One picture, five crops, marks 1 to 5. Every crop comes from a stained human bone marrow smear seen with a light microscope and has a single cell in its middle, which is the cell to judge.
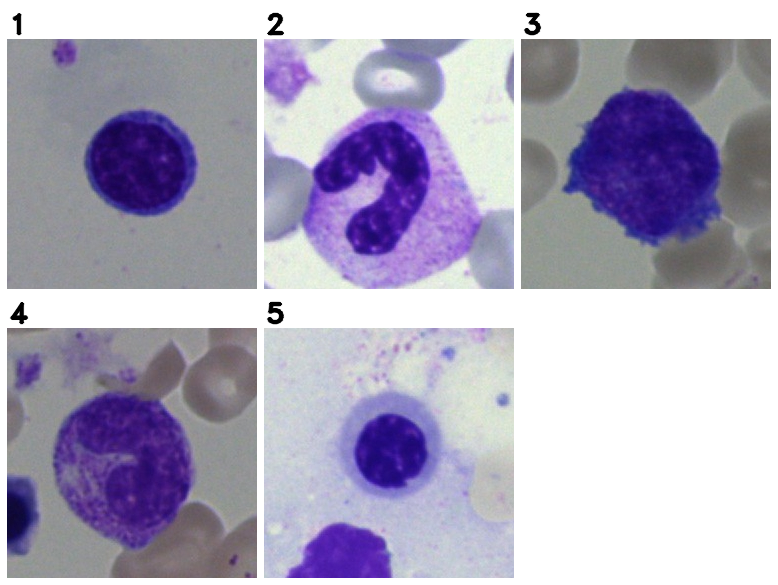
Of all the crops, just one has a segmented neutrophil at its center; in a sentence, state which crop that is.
Selected crop: 2, which is the one that shows a segmented neutrophil.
